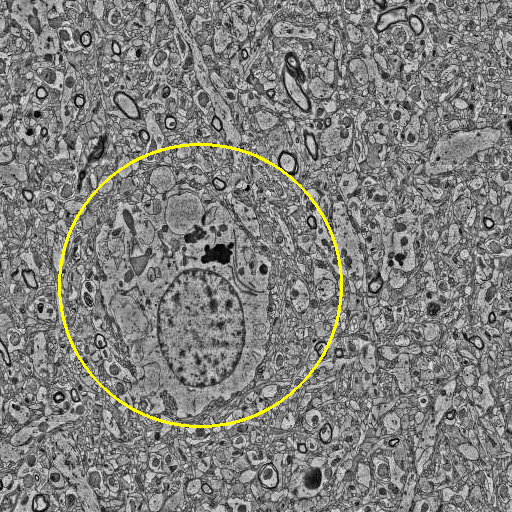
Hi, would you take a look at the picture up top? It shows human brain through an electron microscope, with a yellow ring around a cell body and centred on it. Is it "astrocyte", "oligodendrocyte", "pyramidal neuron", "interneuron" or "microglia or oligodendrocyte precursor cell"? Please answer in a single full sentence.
The best fit for the cell in the middle of the ring is an astrocyte, I reckon.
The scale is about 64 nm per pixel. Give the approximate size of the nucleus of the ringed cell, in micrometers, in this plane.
In this plane the nucleus measures roughly 7 by 6 micrometers.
